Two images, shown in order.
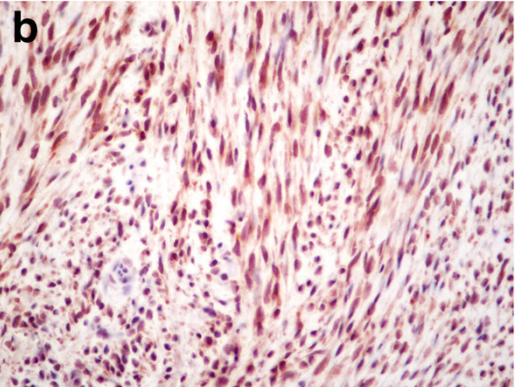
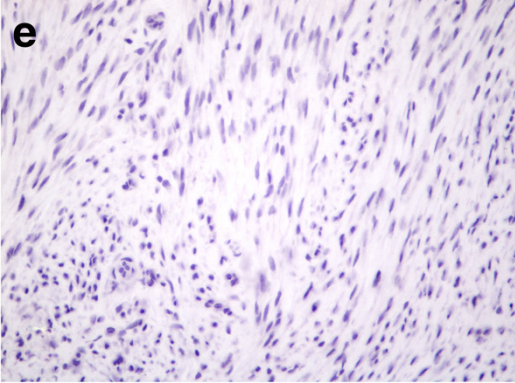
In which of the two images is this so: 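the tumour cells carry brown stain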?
the first image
